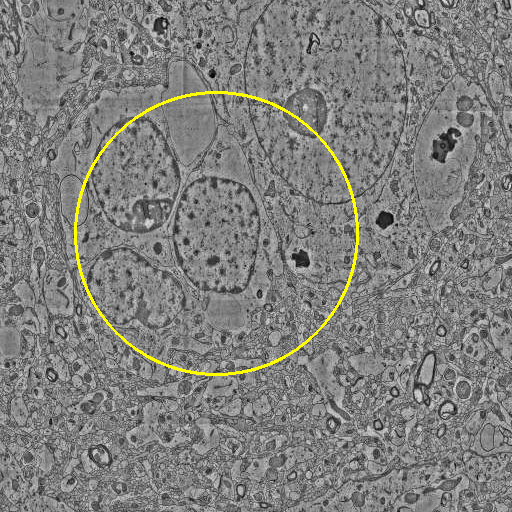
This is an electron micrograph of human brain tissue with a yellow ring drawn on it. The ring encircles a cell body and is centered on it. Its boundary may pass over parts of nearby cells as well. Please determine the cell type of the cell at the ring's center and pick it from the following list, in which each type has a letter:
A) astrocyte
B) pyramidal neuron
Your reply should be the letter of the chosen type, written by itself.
A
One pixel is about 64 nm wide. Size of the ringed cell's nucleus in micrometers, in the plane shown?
The nucleus has a long axis of about 8 micrometres and a short axis of about 6 micrometres in this plane.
